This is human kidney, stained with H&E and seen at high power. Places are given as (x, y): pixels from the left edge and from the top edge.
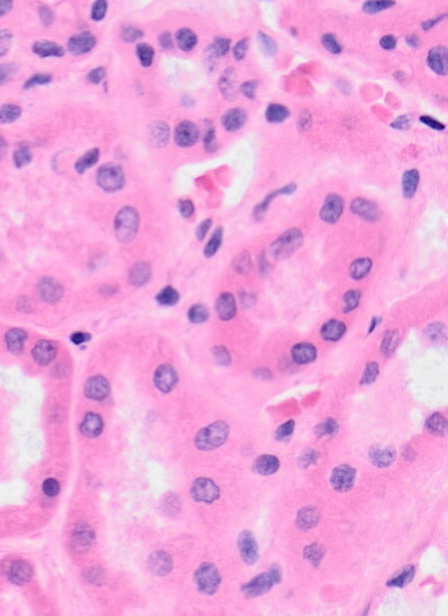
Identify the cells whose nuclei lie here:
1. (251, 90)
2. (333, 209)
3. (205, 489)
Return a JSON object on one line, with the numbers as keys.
{"1": "collecting duct cell", "2": "proximal tubule cell", "3": "proximal tubule cell"}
